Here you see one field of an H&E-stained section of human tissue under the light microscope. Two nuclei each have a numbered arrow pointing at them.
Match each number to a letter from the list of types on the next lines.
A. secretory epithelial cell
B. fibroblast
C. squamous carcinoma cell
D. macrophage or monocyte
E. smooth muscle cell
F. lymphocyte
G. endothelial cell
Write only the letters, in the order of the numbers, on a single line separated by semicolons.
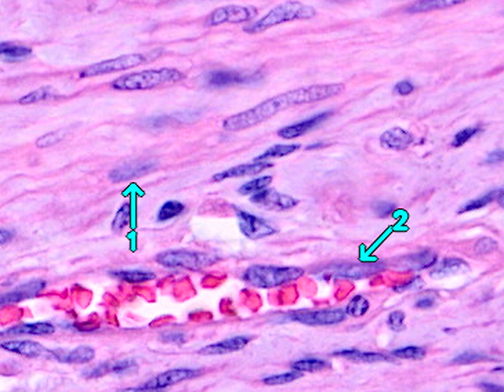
E; G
